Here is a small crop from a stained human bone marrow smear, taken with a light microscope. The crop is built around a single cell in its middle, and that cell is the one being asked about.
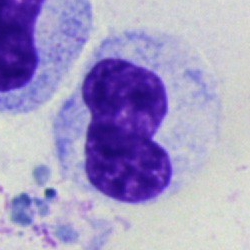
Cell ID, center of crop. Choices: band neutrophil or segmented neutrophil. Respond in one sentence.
In short, the cell at the center is a band neutrophil.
